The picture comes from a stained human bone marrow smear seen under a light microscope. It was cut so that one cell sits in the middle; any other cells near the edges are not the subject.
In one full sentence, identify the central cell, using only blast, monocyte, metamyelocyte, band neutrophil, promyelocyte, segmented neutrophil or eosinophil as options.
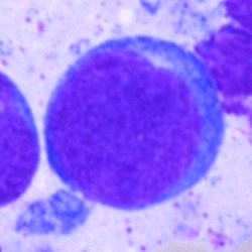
This crop's central cell is a blast.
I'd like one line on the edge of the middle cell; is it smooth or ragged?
Worth noting that the cell border is smooth and lacks projections.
